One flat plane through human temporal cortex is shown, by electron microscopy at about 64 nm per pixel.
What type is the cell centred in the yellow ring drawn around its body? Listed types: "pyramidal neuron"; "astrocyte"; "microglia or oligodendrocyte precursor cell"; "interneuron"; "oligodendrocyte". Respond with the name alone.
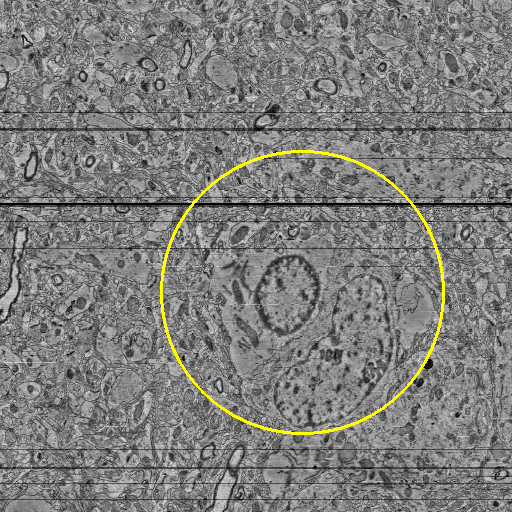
astrocyte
